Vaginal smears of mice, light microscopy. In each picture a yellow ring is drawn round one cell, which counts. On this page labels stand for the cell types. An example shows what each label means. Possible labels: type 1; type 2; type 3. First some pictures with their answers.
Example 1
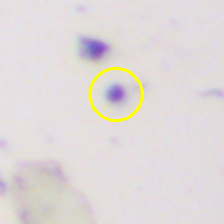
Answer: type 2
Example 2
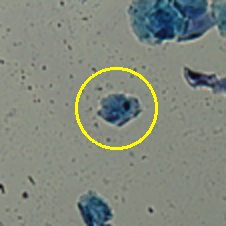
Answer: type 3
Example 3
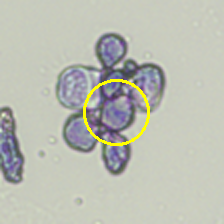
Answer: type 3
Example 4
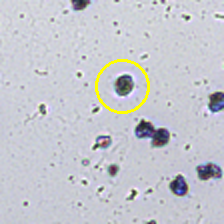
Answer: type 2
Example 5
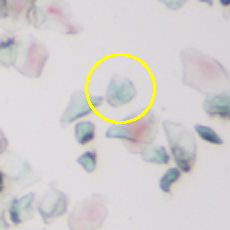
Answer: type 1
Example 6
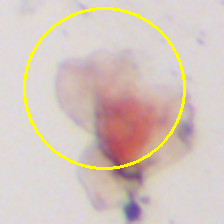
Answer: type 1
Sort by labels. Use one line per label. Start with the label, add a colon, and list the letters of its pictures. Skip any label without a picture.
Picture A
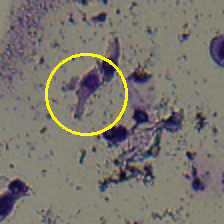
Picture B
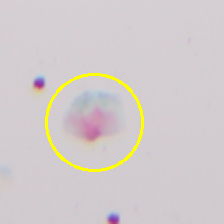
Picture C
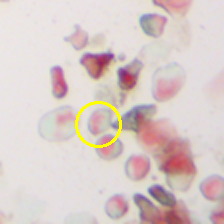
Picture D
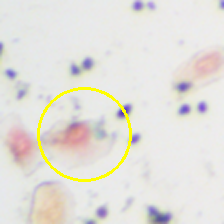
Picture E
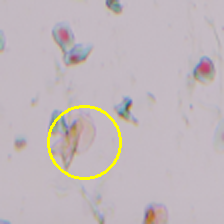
type 1: E
type 3: A, B, C, D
